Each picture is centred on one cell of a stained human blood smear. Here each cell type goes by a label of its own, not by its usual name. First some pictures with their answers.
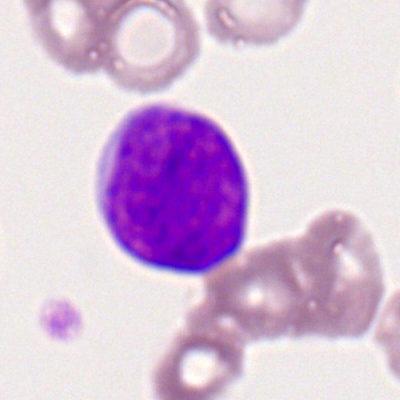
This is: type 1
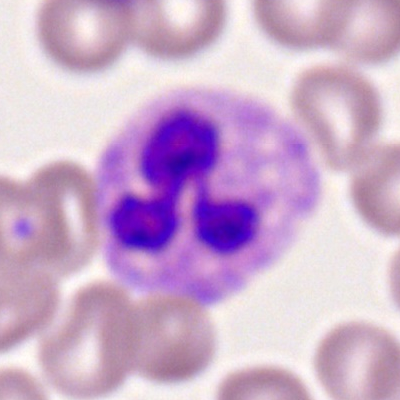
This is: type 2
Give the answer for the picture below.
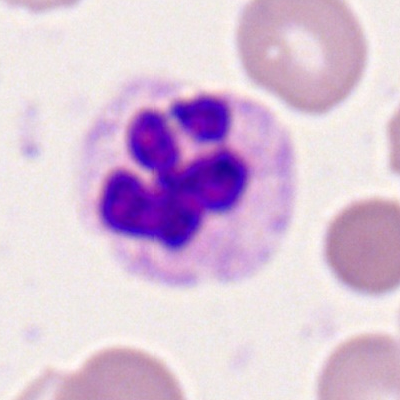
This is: type 2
